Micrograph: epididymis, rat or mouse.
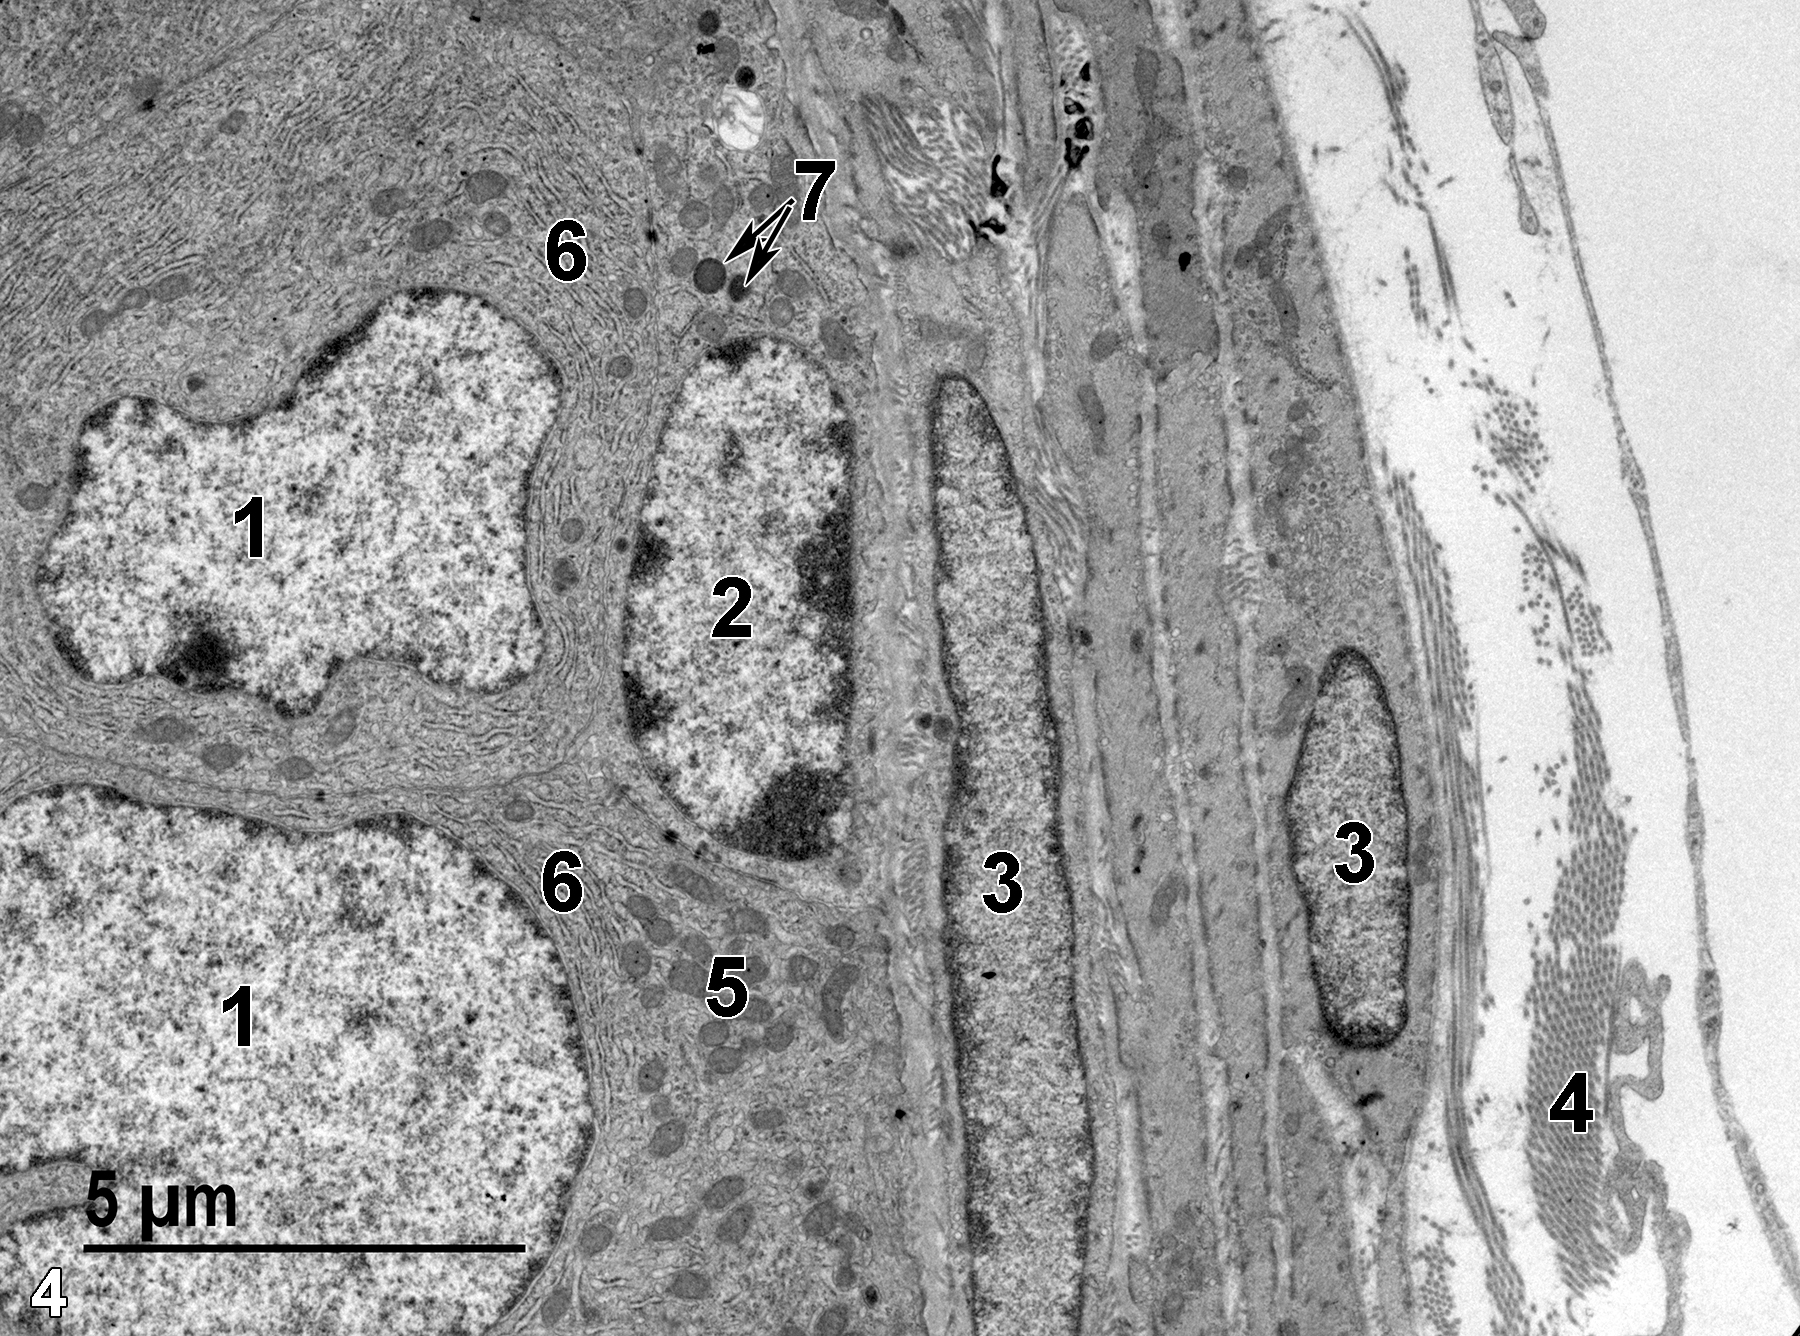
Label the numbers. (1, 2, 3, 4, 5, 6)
1: nuclei of columnar epithelial cells
2: nucleus of a basal epithelial cell
3: smooth muscle cell nuclei
4: collagen fibers
5: mitochondria
6: rough endoplasmic reticulum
